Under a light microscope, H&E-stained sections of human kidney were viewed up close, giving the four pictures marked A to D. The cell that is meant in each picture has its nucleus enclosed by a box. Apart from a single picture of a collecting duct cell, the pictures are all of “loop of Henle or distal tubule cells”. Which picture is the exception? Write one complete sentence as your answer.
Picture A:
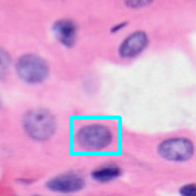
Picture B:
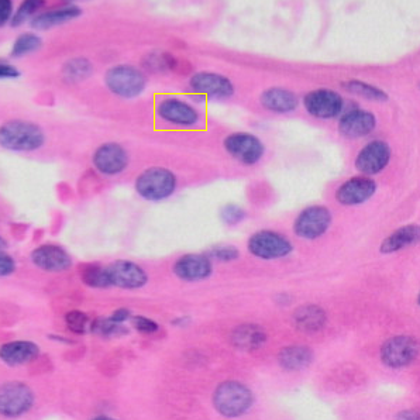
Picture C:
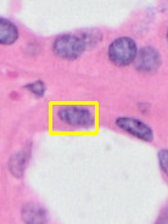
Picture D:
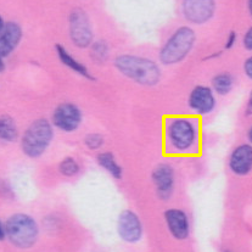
Picture D is the one that shows the collecting duct cell.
